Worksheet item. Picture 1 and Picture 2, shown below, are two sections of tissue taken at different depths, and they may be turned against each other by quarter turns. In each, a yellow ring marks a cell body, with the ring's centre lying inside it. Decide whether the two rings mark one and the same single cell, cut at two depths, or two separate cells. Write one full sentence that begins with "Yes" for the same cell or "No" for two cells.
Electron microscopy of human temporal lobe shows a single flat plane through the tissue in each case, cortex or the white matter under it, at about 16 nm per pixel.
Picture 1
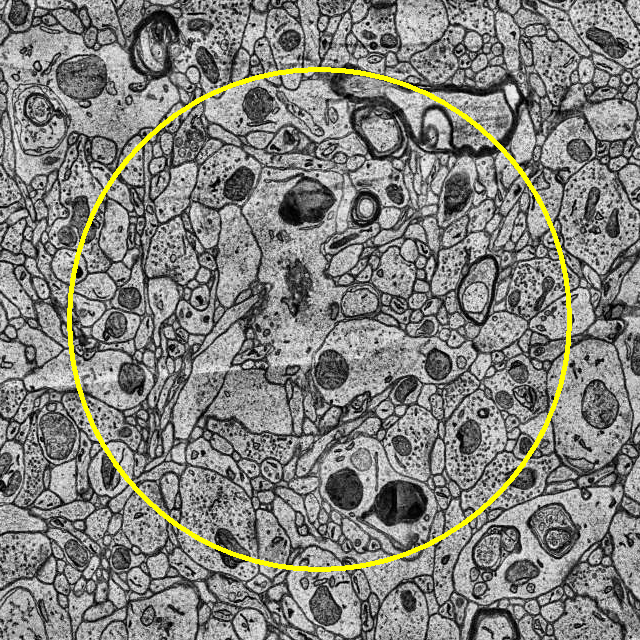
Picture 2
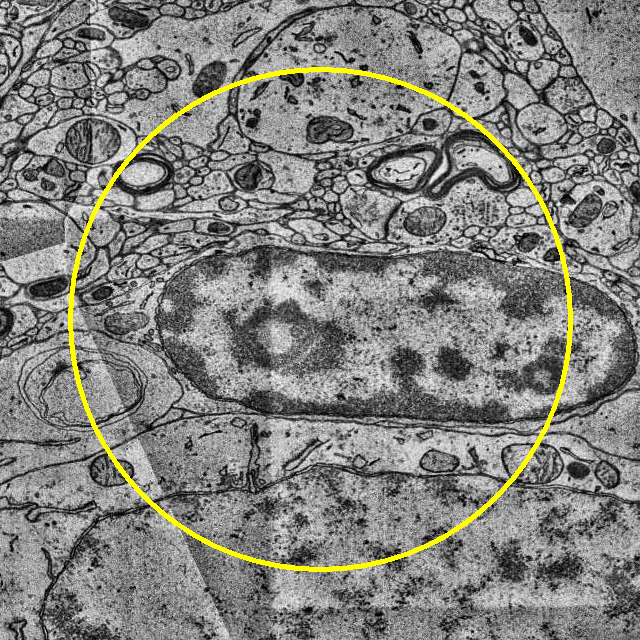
No, the two rings were placed on two different cells.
